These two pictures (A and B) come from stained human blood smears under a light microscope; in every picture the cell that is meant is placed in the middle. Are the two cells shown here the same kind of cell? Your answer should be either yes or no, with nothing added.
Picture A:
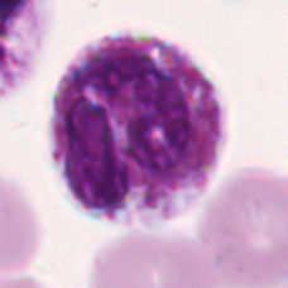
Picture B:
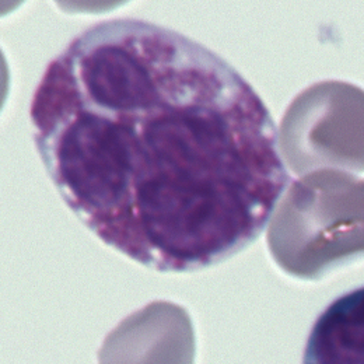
yes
